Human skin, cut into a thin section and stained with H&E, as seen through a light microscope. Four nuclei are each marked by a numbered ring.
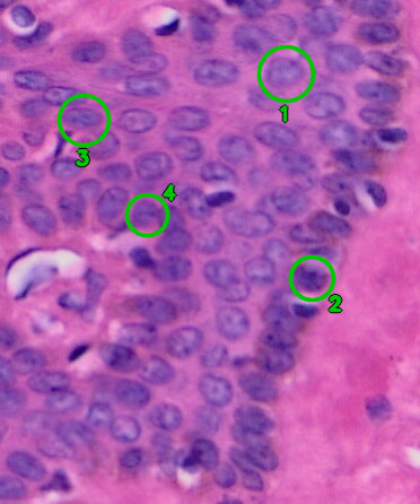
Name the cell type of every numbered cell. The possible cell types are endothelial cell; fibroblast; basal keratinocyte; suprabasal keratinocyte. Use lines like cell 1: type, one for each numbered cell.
cell 1: suprabasal keratinocyte
cell 2: basal keratinocyte
cell 3: basal keratinocyte
cell 4: basal keratinocyte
